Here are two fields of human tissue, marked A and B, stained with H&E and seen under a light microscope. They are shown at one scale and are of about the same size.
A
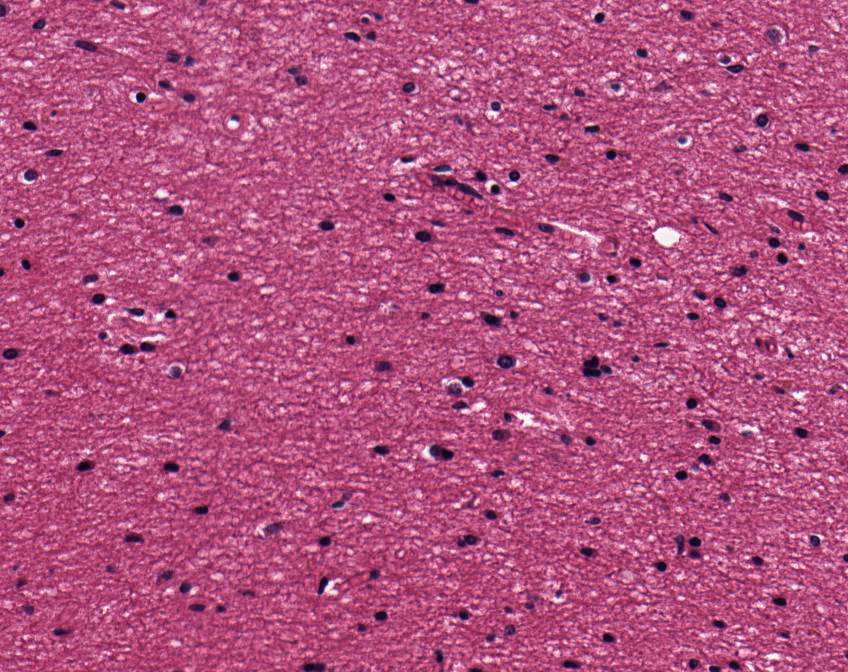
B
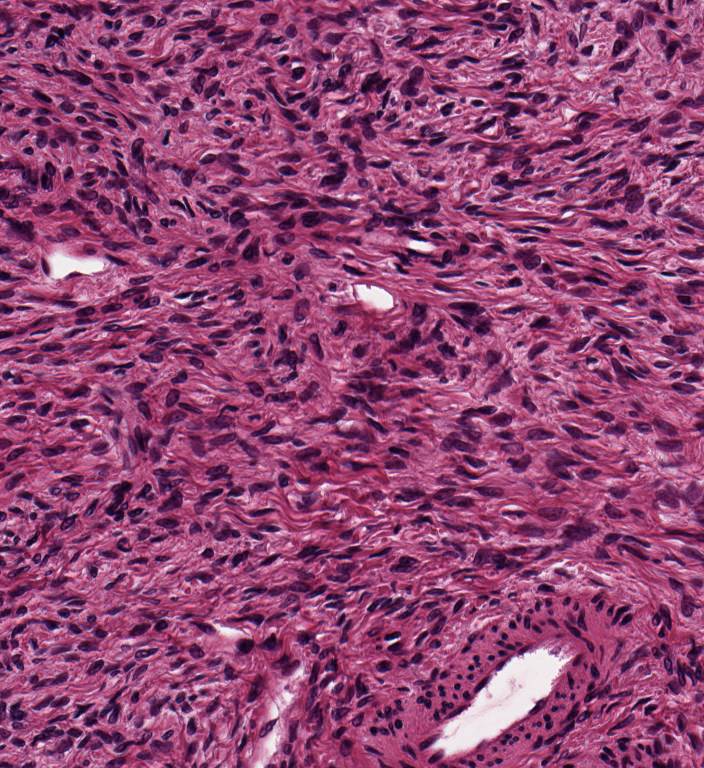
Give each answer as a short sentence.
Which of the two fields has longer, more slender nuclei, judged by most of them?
Longer, more slender nuclei lie in field B.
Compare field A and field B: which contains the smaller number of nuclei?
Field A holds fewer nuclei than field B.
